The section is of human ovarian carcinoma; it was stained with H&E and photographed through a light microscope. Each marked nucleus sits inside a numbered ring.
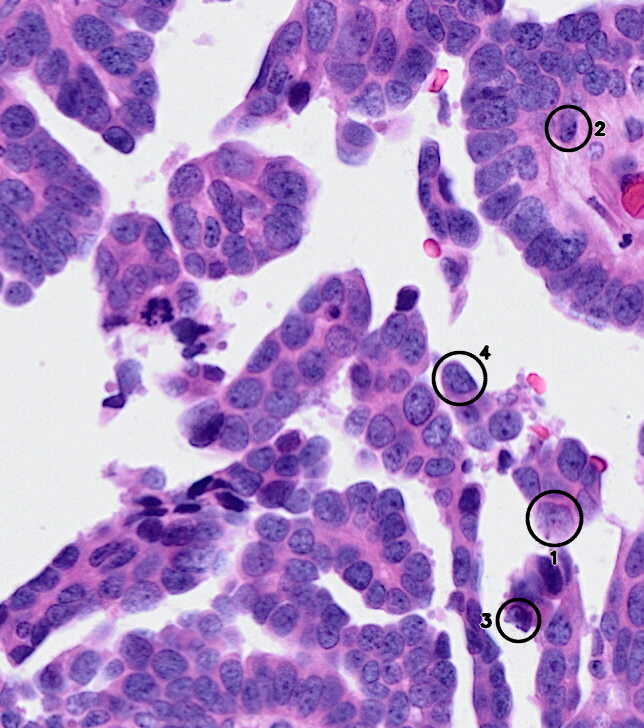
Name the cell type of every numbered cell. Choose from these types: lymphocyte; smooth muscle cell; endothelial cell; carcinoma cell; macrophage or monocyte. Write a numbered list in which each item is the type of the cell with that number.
1. carcinoma cell
2. macrophage or monocyte
3. carcinoma cell
4. carcinoma cell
